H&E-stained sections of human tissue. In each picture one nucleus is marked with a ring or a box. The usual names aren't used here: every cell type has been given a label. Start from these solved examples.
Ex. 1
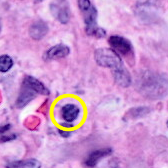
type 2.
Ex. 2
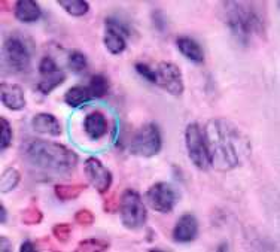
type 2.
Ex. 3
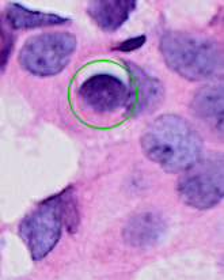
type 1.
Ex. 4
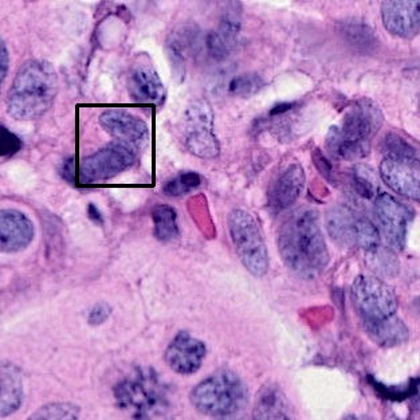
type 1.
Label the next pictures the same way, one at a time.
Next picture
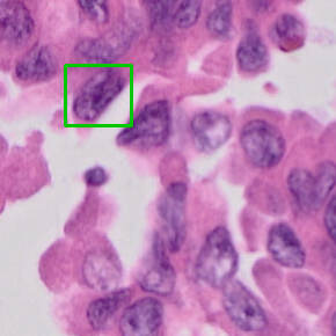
type 1.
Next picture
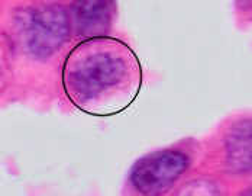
type 1.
